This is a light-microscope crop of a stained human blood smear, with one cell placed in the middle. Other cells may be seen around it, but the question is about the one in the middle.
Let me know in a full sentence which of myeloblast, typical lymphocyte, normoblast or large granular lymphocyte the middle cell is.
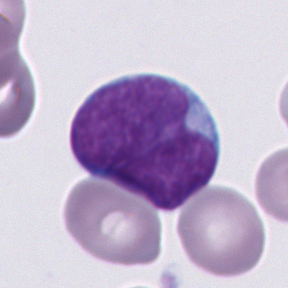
The cell found in the middle of this crop is a myeloblast.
